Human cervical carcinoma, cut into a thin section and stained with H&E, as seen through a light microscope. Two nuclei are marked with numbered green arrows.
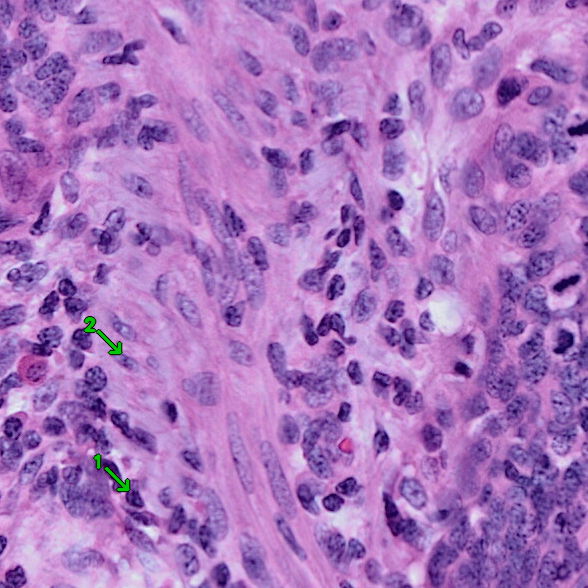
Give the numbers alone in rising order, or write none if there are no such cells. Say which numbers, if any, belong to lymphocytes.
1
